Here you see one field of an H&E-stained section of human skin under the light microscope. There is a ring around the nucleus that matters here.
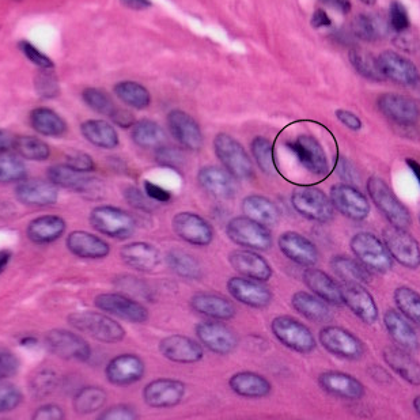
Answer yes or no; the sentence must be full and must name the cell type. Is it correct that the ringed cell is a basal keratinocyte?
Yes, where cell type is concerned, the ringed cell is a basal keratinocyte.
